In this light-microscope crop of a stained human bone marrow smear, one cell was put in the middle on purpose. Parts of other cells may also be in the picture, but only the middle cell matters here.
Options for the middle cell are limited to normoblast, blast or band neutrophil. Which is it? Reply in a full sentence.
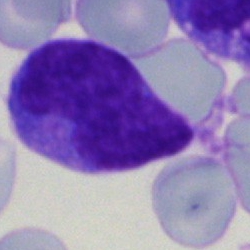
The middle position in this crop is taken by a blast.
